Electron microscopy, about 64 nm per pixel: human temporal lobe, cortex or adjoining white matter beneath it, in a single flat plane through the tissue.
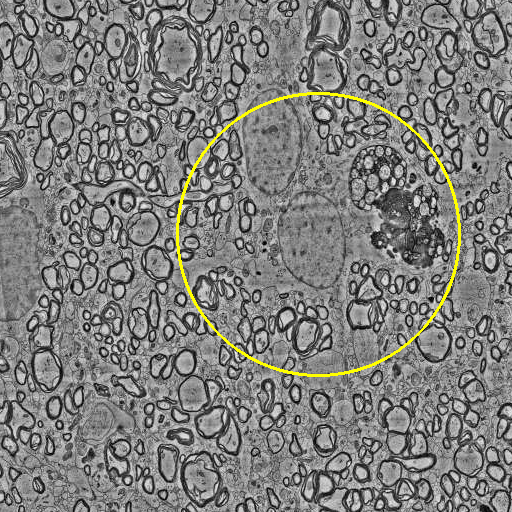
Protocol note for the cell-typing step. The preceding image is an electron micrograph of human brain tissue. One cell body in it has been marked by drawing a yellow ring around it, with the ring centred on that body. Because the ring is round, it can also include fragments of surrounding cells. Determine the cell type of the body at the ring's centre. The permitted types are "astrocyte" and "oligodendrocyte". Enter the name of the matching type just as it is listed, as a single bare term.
astrocyte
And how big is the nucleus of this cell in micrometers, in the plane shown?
In this plane, the nucleus is roughly 6 by 5 micrometres.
